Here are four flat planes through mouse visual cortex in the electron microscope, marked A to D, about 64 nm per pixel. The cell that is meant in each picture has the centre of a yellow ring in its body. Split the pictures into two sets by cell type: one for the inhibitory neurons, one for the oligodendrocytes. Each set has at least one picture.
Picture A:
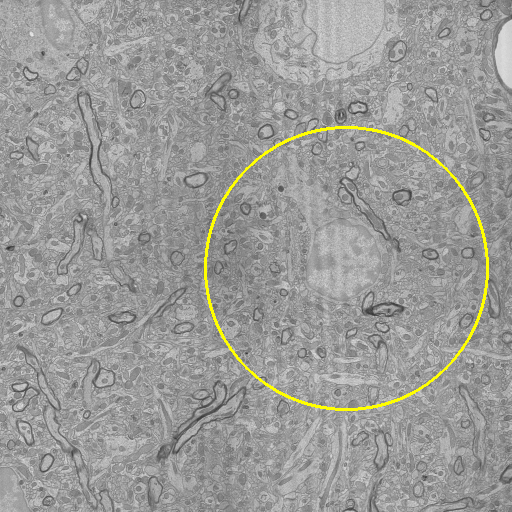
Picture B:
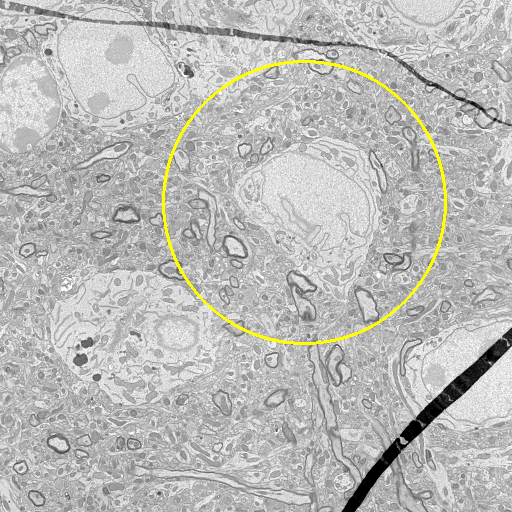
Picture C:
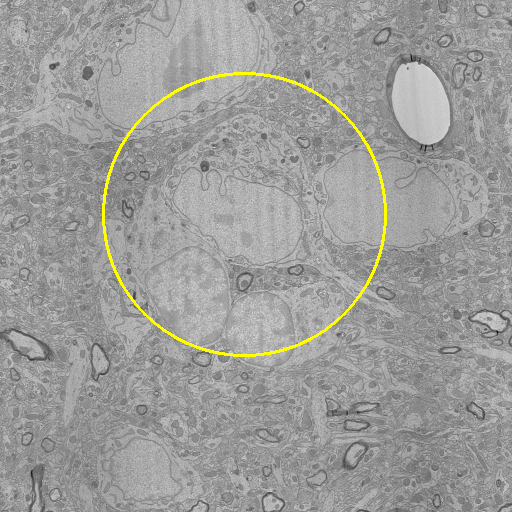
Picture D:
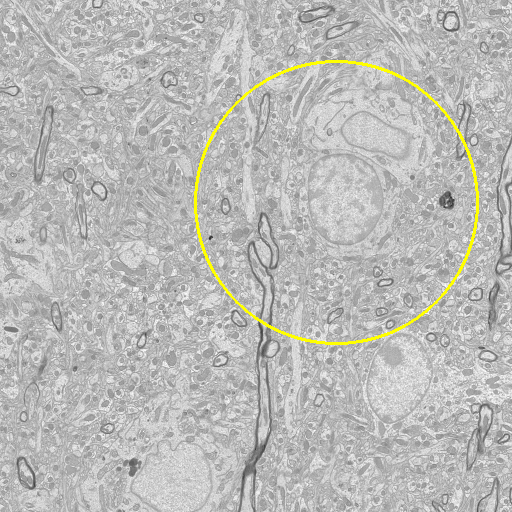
Pictures B and C show inhibitory neurons; pictures A and D show oligodendrocytes.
